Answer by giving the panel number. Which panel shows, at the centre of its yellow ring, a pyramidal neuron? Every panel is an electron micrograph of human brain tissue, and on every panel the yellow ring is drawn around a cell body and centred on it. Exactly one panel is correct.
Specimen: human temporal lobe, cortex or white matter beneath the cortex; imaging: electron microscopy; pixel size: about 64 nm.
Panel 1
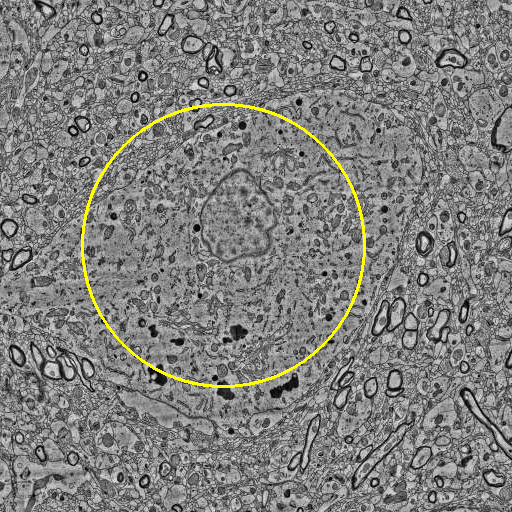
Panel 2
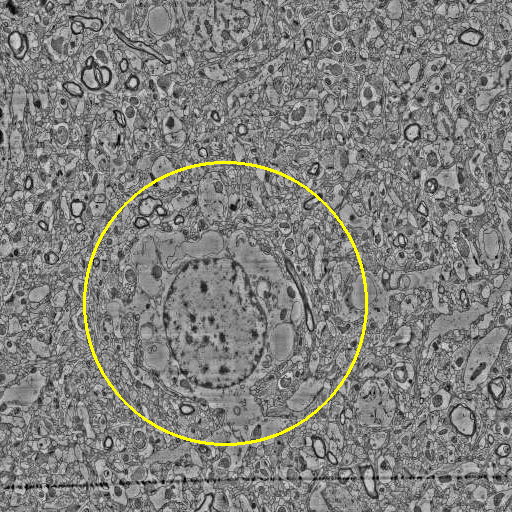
1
